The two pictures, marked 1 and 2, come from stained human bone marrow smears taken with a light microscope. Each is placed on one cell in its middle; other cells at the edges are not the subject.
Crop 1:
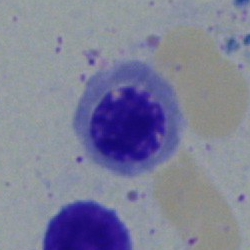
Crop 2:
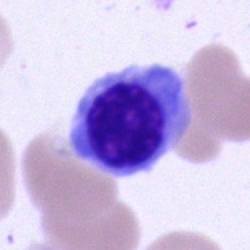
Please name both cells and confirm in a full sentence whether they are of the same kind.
Yes, in both crops the centred cells are erythroblasts.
